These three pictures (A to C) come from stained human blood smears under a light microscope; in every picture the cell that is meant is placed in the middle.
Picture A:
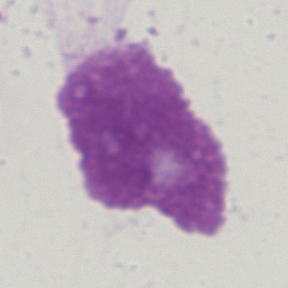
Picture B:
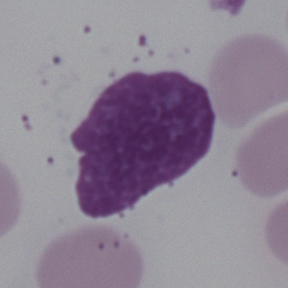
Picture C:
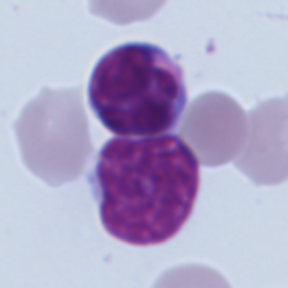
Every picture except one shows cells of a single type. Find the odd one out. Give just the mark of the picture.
C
